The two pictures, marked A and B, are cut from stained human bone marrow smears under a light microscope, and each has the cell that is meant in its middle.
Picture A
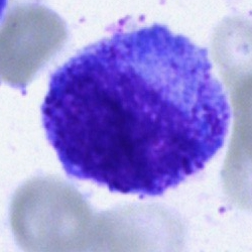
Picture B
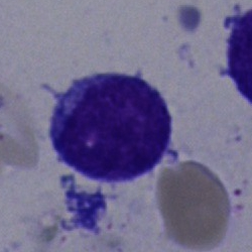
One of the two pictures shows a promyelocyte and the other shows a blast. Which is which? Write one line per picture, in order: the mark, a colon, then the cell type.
A: promyelocyte
B: blast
